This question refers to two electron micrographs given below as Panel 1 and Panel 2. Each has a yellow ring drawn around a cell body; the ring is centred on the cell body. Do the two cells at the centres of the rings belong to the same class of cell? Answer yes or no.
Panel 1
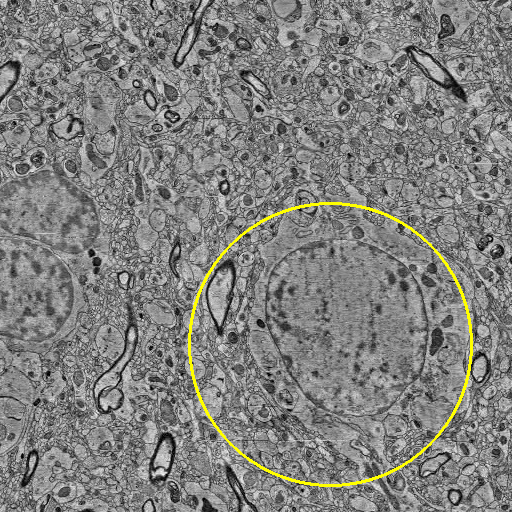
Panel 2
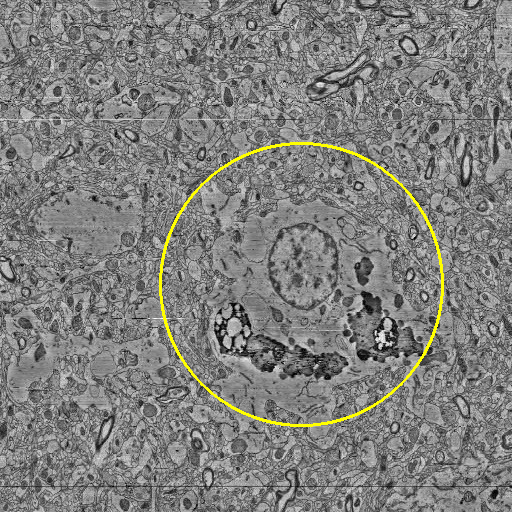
yes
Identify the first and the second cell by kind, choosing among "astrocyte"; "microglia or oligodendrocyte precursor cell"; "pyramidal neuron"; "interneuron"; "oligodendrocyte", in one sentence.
The second cell is an astrocyte, just as the first is.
